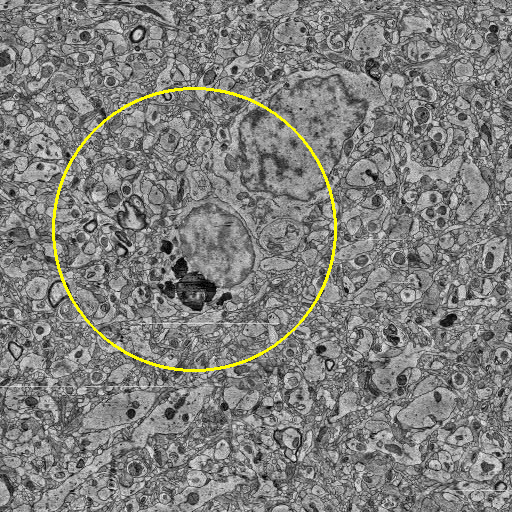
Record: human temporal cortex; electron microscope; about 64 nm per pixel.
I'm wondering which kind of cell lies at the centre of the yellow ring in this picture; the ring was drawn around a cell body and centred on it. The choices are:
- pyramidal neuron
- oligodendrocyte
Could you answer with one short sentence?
At the centre of the ring lies an oligodendrocyte.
